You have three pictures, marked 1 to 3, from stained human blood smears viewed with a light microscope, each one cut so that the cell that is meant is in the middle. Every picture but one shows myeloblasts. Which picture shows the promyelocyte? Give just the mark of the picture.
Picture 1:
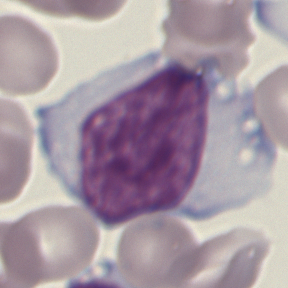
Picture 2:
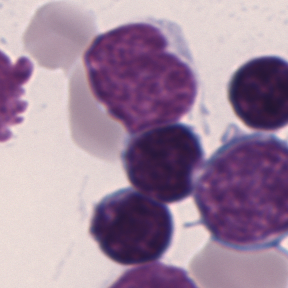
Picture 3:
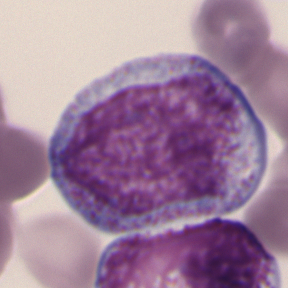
3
